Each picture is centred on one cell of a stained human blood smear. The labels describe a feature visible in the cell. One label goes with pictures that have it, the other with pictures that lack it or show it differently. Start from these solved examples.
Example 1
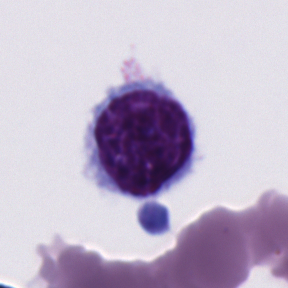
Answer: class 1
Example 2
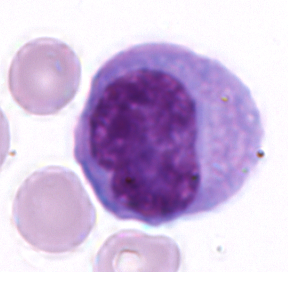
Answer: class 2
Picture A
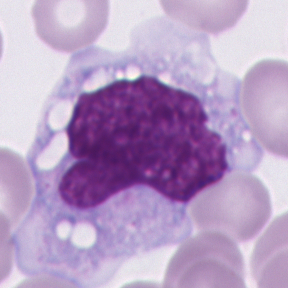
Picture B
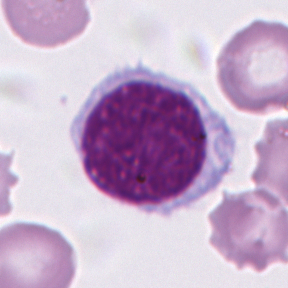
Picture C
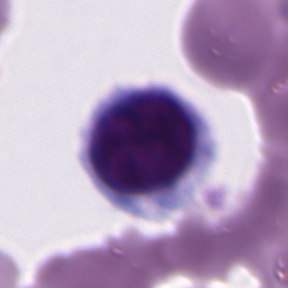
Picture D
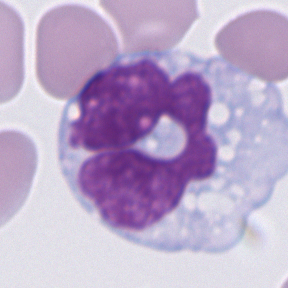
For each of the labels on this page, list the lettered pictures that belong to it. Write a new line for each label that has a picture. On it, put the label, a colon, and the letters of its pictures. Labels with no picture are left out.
class 1: B, C
class 2: A, D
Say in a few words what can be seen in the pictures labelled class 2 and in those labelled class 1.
Seen in class 2: abundant cytoplasm; seen in class 1: scant cytoplasm.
